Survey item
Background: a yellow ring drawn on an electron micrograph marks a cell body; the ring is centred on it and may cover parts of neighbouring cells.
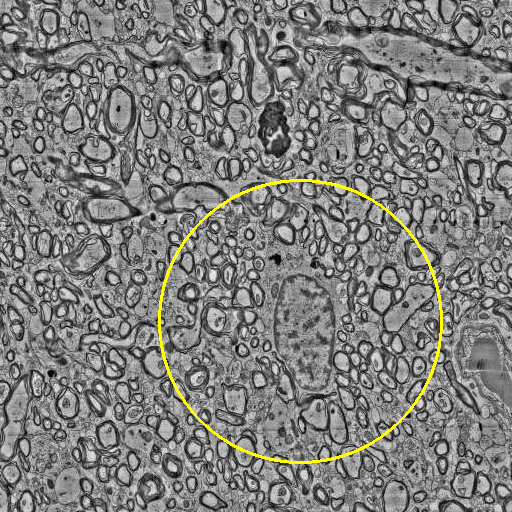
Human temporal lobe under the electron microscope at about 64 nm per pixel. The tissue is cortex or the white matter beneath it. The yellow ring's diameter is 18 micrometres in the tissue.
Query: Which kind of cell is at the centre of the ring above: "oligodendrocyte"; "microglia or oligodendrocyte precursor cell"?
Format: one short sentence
The cell in the middle of the ring is an oligodendrocyte.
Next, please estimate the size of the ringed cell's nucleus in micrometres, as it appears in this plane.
The nucleus comes to approximately 7 by 4 micrometres and is clearly longer than it is wide in this plane.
